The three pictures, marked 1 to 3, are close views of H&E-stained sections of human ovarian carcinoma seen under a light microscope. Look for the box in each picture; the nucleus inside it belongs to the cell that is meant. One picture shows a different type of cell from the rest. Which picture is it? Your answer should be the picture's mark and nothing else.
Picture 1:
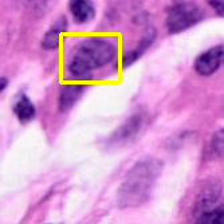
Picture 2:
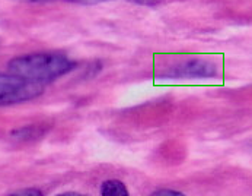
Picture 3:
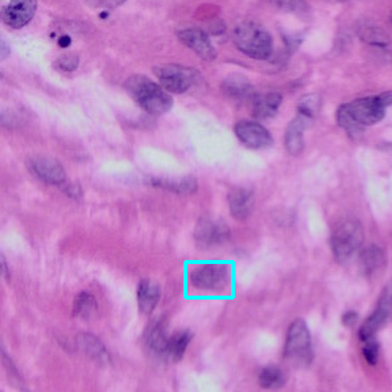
1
